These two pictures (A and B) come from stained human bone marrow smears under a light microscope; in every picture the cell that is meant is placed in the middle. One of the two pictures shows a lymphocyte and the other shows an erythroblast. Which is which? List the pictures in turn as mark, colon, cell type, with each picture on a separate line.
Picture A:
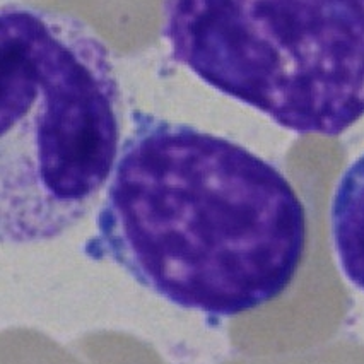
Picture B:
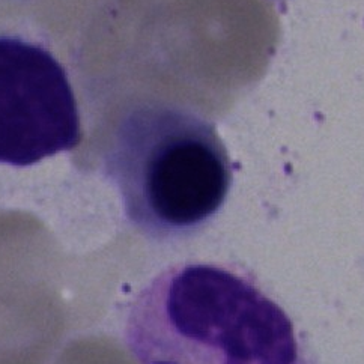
A: lymphocyte
B: erythroblast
